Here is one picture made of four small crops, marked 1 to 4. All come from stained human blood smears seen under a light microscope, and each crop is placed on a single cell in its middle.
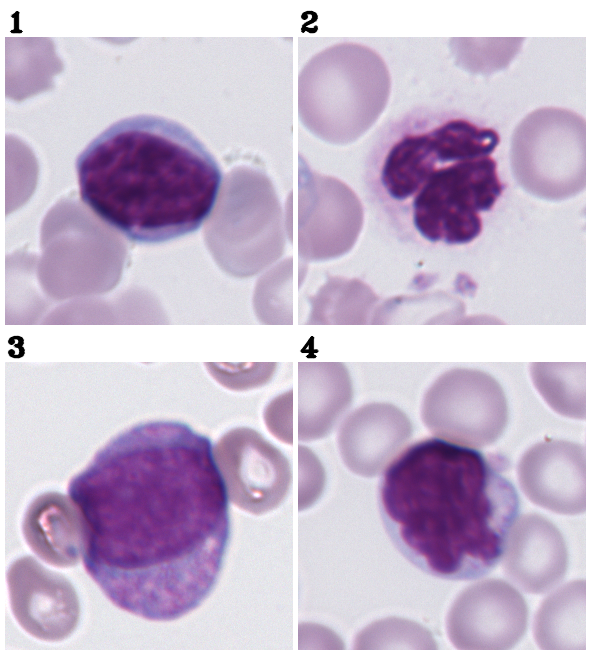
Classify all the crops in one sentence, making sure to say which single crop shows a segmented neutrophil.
Among these crops, crop 2 shows a segmented neutrophil, while crop 1 is a typical lymphocyte, crop 3 is an atypical promyelocyte and crop 4 is a large granular lymphocyte.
